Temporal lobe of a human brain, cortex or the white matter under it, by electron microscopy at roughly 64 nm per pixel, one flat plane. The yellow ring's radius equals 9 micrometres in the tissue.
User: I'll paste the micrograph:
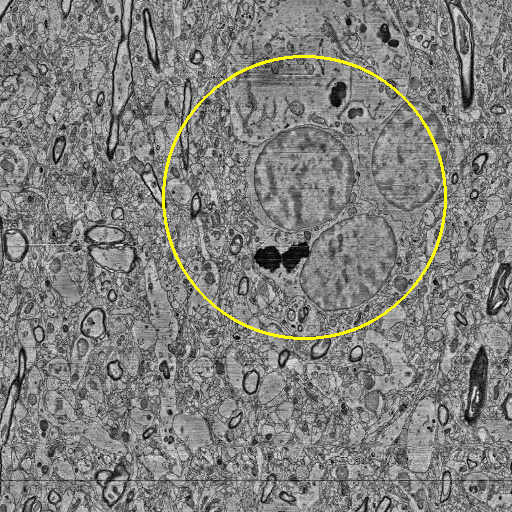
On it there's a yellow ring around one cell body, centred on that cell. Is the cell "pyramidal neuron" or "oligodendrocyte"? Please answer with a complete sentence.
The cell ringed in yellow is an oligodendrocyte.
